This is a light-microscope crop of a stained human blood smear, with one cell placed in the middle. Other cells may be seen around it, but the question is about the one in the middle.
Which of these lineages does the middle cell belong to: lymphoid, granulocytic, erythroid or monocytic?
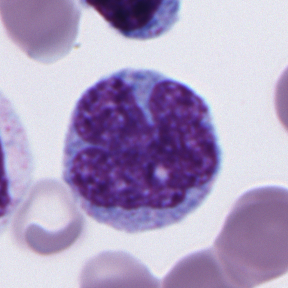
monocytic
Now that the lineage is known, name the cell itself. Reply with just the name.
monocyte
